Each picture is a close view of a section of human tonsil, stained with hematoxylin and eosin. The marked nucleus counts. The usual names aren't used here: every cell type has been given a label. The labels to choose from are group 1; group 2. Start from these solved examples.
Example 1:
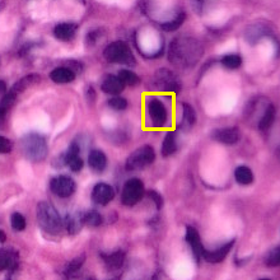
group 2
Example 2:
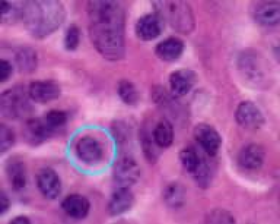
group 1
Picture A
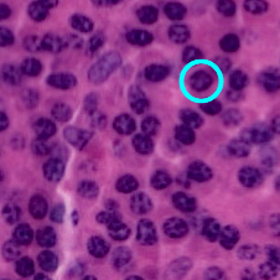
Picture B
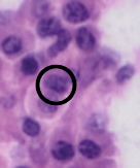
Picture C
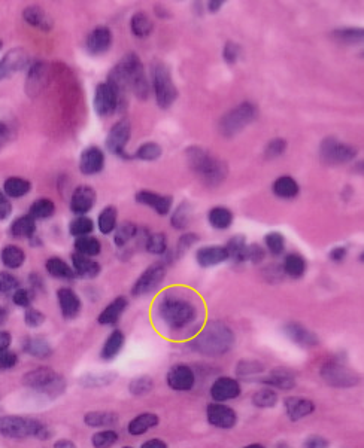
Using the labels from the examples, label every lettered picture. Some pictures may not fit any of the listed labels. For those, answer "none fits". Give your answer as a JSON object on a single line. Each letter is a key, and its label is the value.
{"A": "group 1", "B": "group 1", "C": "none fits"}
